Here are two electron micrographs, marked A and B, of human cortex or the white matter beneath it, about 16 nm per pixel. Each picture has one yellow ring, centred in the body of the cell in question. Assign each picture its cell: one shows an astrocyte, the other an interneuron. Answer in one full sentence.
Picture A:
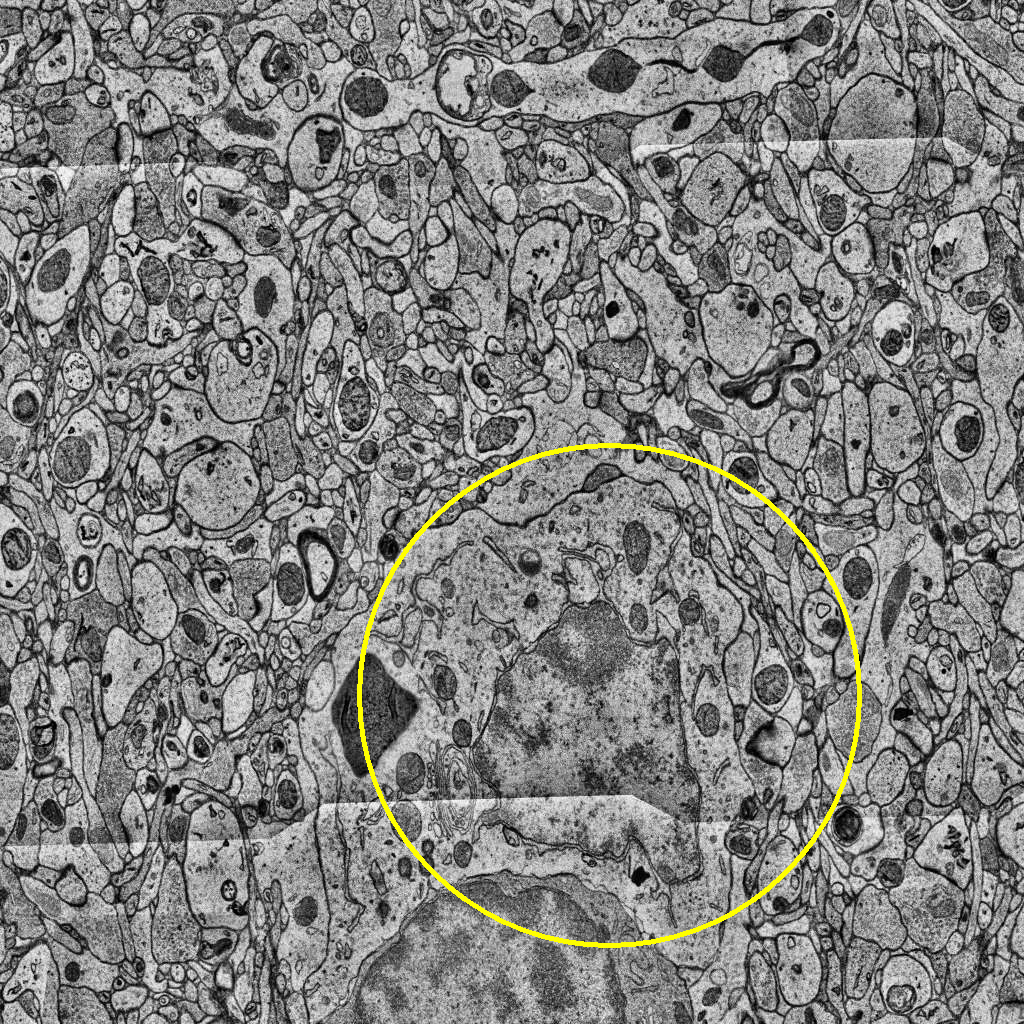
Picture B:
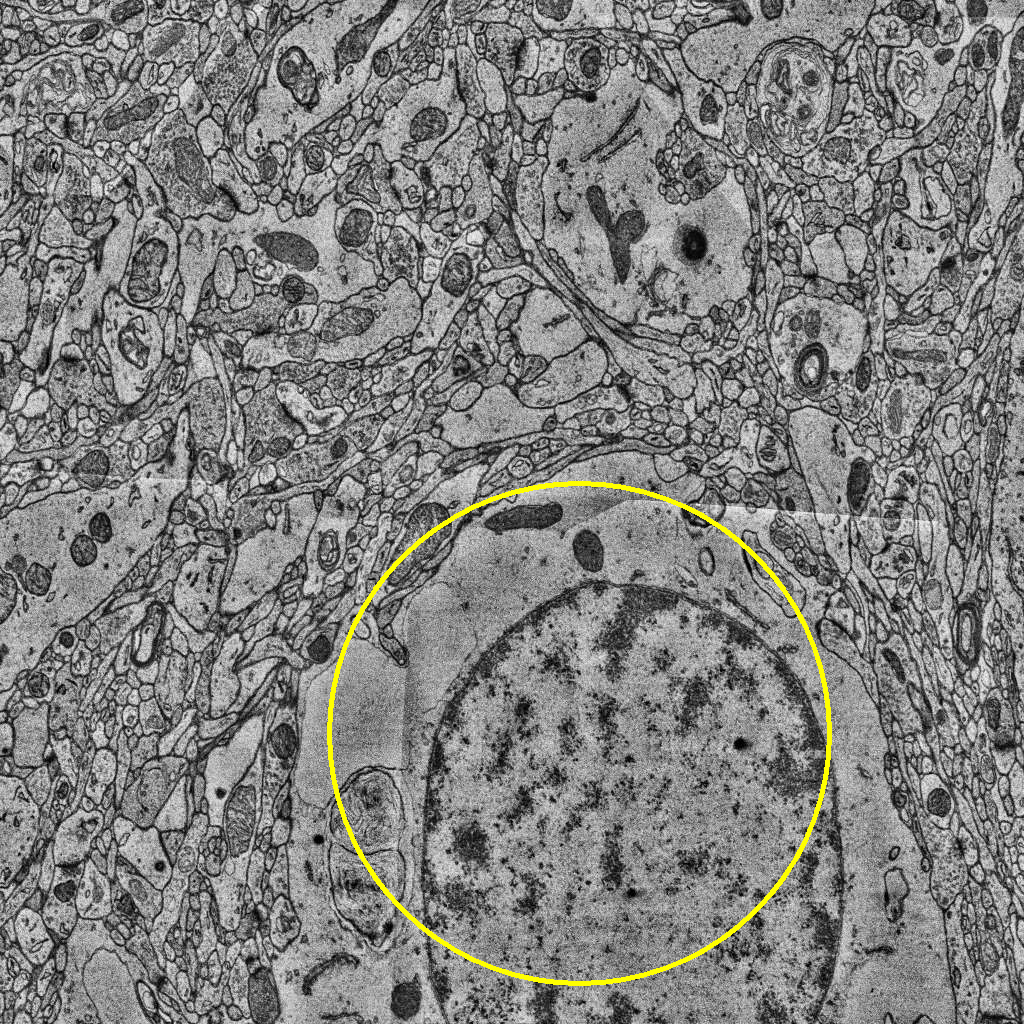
Picture A shows an interneuron and picture B shows an astrocyte.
